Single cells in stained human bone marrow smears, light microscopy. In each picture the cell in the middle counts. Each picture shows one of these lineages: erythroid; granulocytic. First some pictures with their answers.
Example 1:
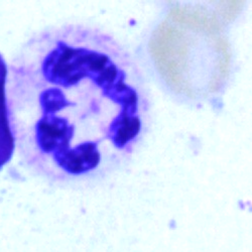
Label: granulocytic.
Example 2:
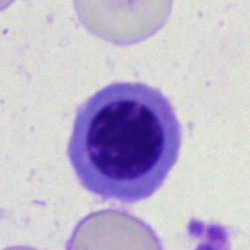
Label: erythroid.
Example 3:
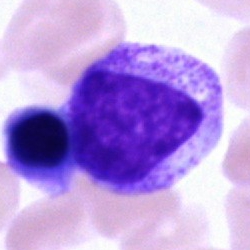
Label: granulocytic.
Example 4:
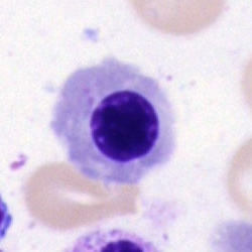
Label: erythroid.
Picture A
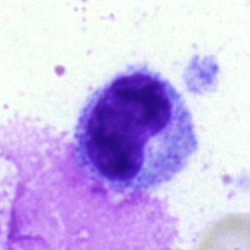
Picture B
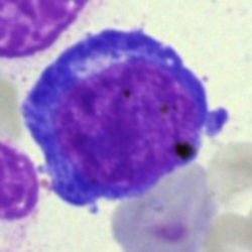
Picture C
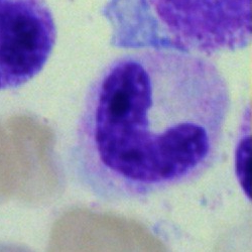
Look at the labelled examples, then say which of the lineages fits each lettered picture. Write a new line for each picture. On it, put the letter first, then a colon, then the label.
A: granulocytic.
B: erythroid.
C: granulocytic.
